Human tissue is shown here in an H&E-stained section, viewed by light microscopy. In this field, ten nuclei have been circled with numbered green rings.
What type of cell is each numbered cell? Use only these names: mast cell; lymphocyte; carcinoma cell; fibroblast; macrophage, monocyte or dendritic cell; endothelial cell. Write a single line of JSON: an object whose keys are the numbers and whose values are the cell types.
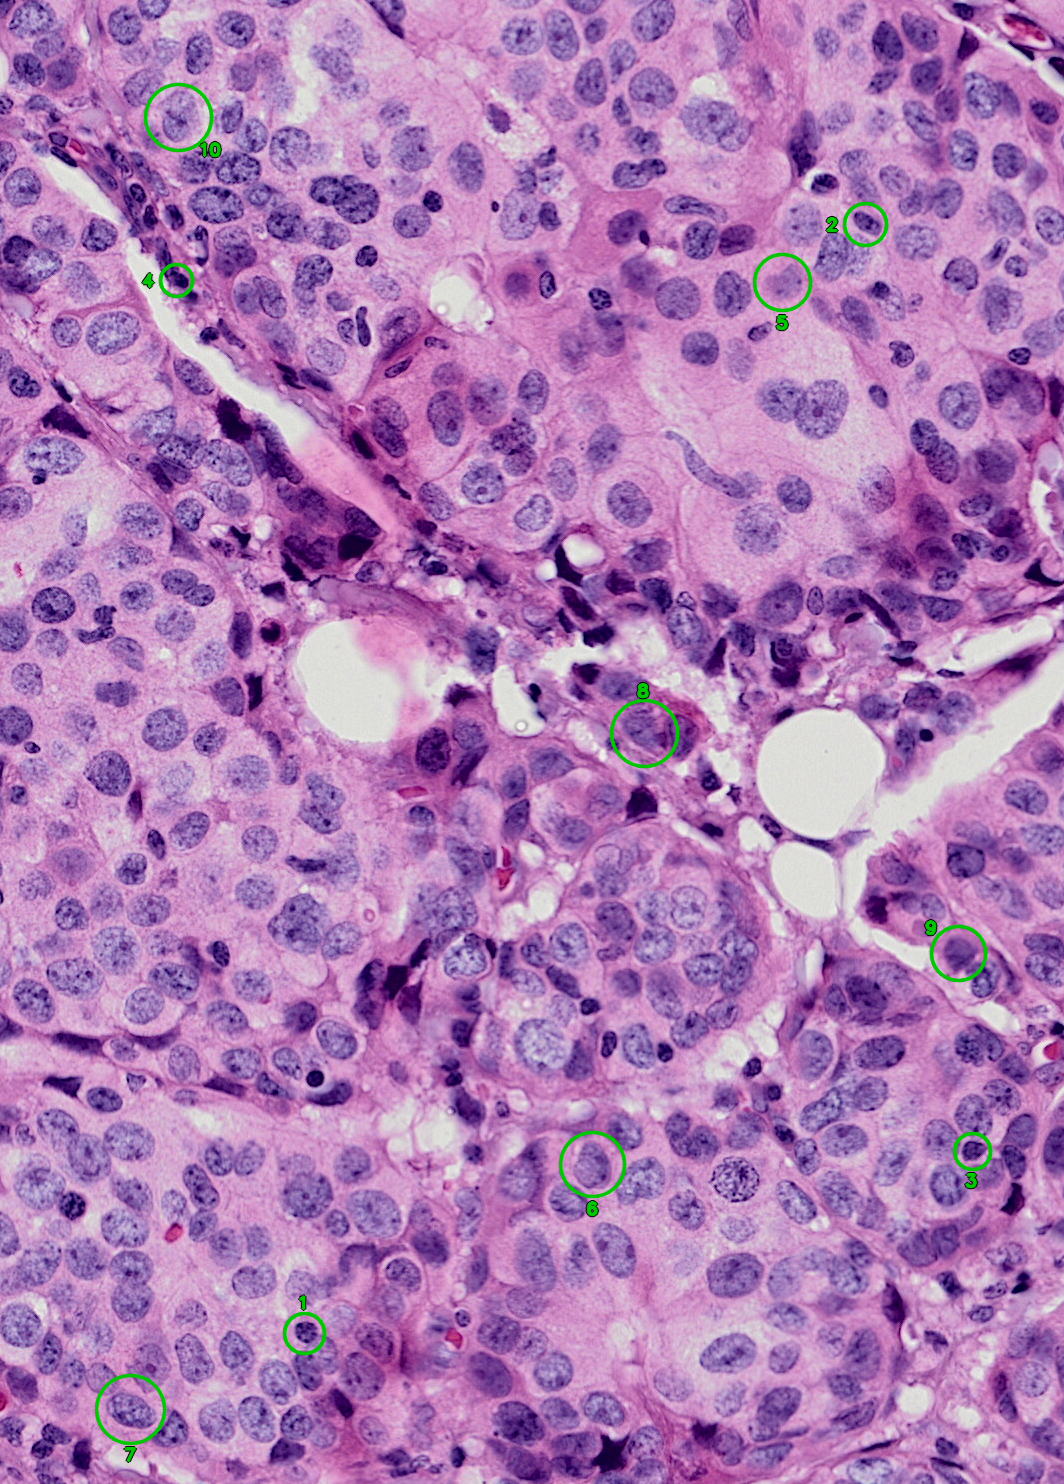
{"1": "lymphocyte", "2": "lymphocyte", "3": "lymphocyte", "4": "lymphocyte", "5": "carcinoma cell", "6": "carcinoma cell", "7": "carcinoma cell", "8": "carcinoma cell", "9": "carcinoma cell", "10": "carcinoma cell"}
